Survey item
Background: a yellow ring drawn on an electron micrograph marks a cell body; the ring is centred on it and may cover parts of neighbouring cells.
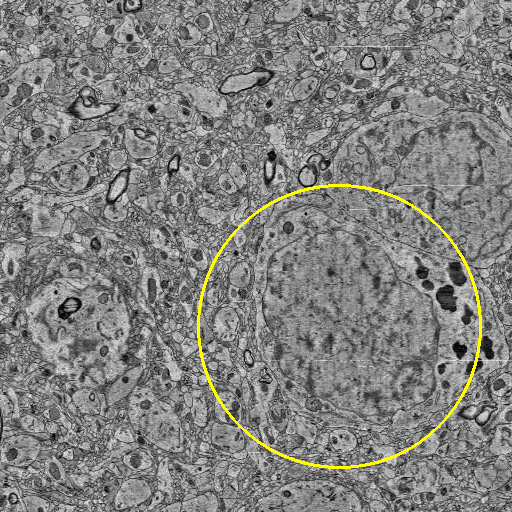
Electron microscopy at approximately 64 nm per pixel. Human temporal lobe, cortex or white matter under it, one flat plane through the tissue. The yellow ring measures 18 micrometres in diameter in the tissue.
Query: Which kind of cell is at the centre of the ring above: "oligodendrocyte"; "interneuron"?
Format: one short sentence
The cell in the middle of the ring is an interneuron.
